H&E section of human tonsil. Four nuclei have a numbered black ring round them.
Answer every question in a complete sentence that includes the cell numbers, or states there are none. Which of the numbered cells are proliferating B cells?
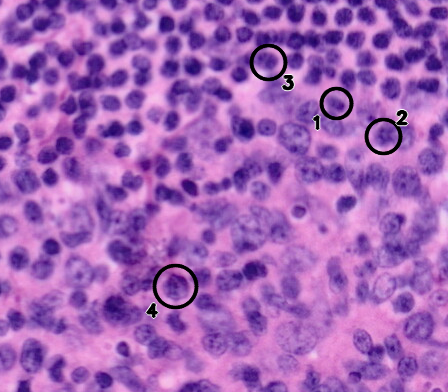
The cells bearing the numbers 1, 2 and 4 are proliferating B cells.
